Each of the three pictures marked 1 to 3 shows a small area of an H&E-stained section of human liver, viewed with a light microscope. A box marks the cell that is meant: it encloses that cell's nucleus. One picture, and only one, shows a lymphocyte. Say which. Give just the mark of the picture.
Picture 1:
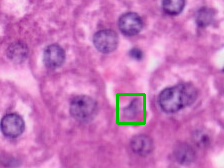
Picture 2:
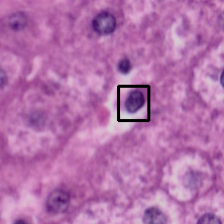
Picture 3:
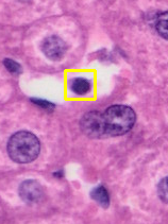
3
